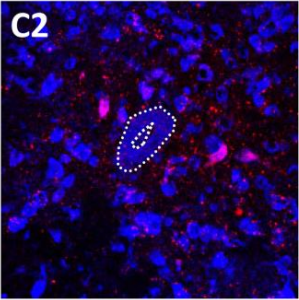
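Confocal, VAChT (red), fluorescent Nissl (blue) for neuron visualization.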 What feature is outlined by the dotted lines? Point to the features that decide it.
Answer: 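The inner dotted line encloses a small slit-like lumen. A ring of densely packed blue nuclei lies between the inner and outer dotted lines. The structure sits in the middle of the grey matter.
Central canal.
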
